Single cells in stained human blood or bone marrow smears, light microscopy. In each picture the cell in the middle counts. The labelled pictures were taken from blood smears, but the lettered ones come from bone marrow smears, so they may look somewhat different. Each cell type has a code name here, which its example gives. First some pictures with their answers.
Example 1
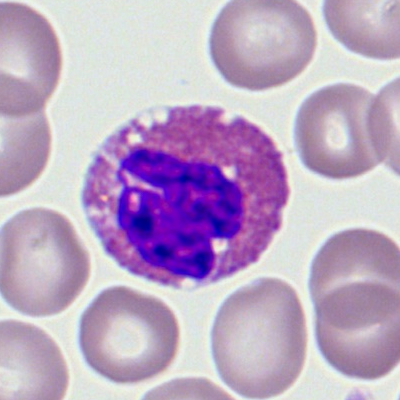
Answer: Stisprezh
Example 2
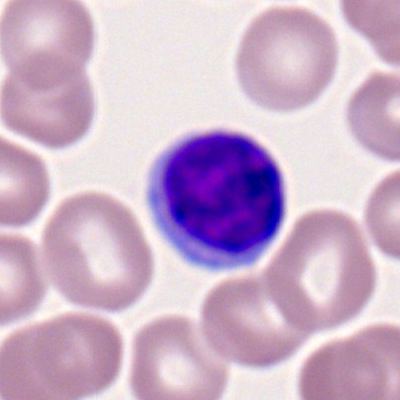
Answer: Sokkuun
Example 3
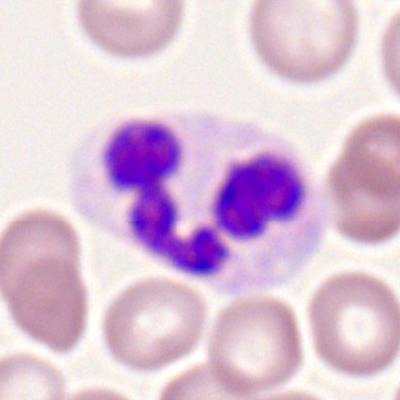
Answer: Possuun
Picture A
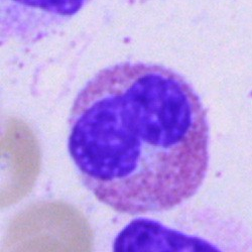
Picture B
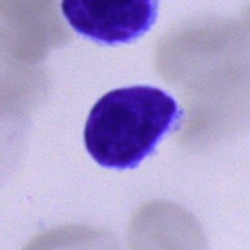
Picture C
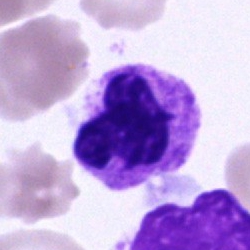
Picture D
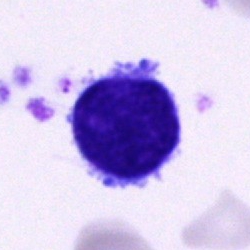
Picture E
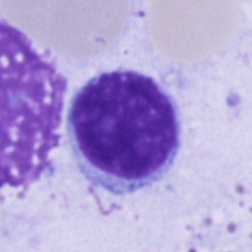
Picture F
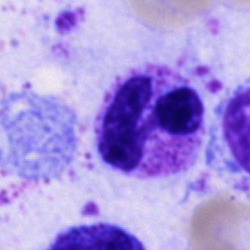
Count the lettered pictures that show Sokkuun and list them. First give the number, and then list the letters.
3, namely B, D, E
